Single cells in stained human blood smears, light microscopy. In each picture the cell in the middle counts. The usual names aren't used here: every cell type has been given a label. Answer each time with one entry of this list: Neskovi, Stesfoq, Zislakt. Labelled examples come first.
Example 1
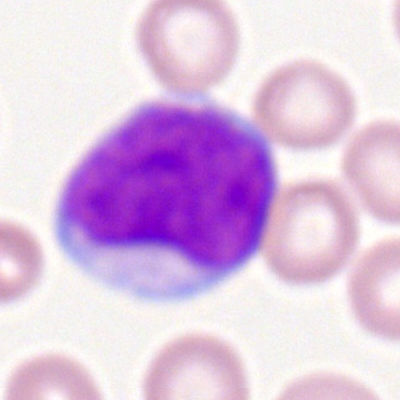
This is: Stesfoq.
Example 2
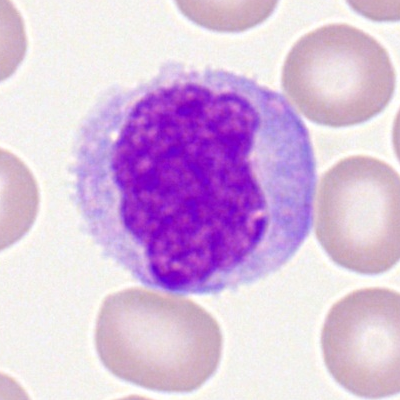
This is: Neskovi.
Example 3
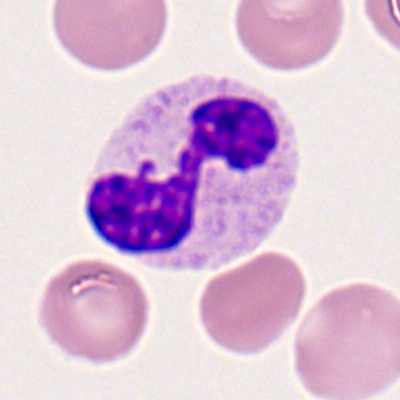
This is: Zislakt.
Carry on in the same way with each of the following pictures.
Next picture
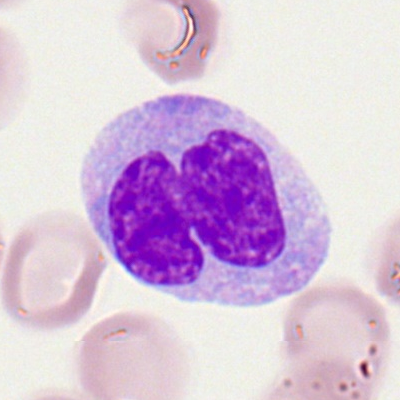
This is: Neskovi.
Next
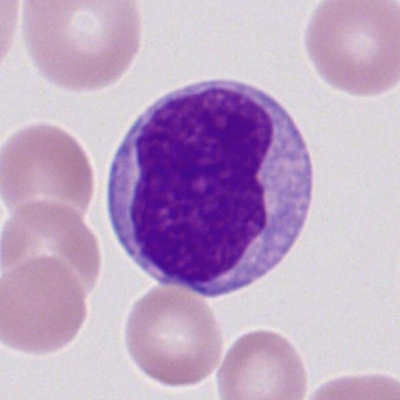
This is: Neskovi.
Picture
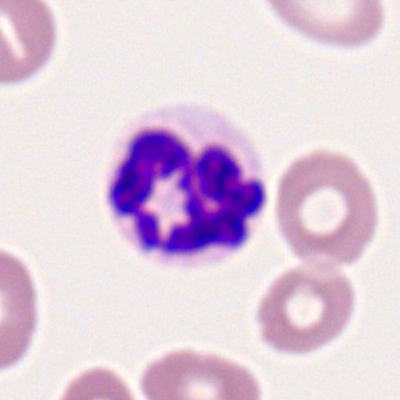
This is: Zislakt.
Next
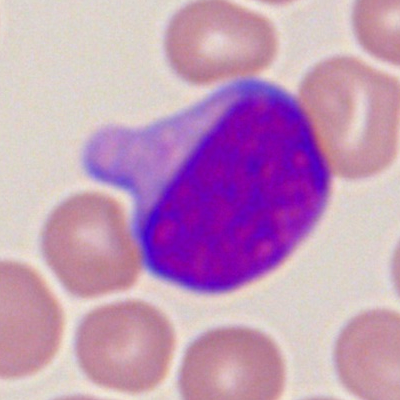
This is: Stesfoq.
